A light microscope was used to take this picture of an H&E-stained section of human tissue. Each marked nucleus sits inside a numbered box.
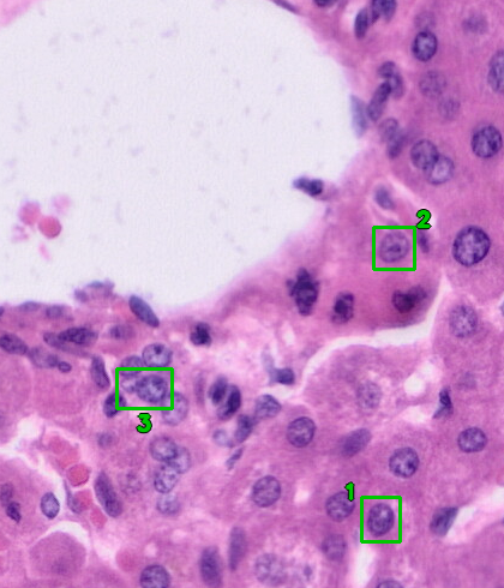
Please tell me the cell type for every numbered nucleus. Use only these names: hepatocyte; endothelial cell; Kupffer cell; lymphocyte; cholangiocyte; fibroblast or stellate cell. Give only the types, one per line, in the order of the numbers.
hepatocyte
hepatocyte
cholangiocyte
